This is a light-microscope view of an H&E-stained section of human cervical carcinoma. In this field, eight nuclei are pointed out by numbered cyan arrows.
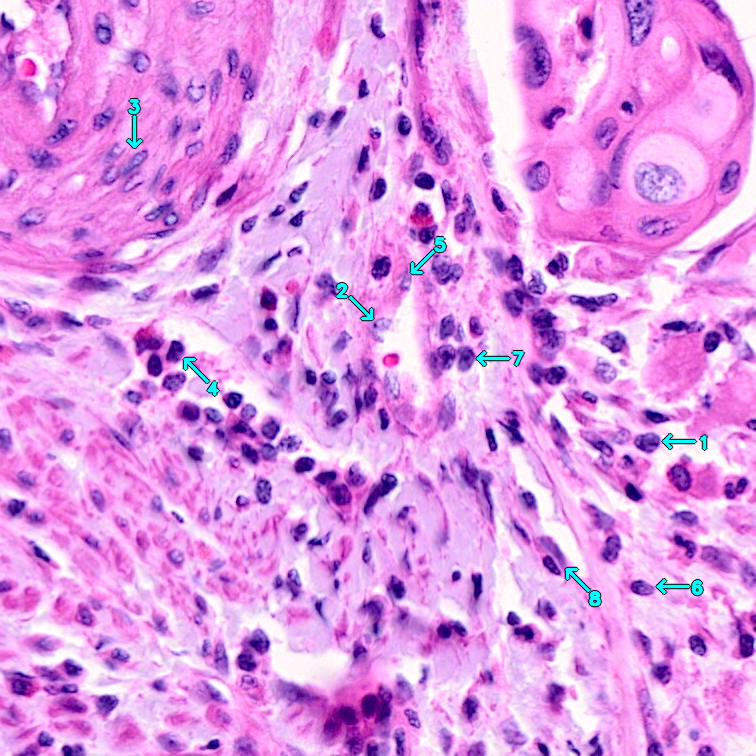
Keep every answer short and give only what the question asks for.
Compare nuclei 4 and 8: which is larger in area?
8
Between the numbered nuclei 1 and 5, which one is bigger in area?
1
